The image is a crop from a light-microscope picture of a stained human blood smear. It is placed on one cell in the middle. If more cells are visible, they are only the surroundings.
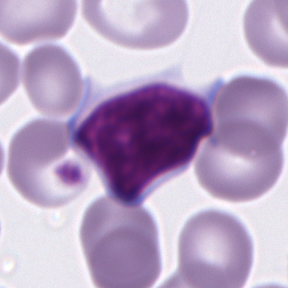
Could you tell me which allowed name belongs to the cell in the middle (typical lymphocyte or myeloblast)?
typical lymphocyte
